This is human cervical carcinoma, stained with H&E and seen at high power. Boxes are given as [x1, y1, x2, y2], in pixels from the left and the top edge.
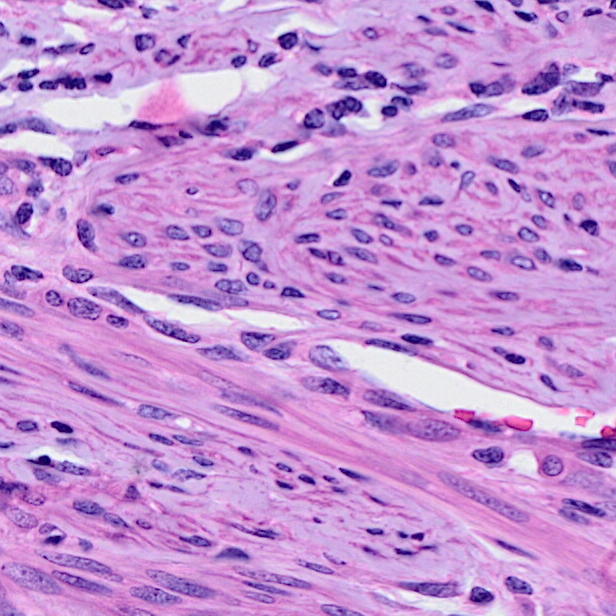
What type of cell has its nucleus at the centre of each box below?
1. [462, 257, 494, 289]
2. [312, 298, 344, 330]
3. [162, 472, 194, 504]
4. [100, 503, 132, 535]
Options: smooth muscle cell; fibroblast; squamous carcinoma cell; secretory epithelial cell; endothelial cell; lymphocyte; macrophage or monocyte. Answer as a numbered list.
1. smooth muscle cell
2. smooth muscle cell
3. fibroblast
4. smooth muscle cell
